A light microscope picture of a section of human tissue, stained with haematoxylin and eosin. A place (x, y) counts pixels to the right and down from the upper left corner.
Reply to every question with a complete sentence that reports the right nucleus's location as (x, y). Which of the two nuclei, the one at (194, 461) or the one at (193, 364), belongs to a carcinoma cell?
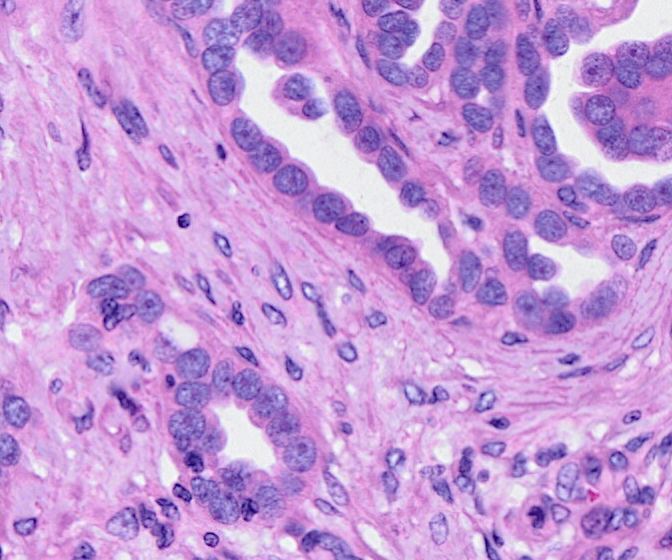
The nucleus at (193, 364) is identified as belonging to a carcinoma cell.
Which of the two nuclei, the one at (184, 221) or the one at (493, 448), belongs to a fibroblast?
The nucleus that belongs to a fibroblast is located at (493, 448).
